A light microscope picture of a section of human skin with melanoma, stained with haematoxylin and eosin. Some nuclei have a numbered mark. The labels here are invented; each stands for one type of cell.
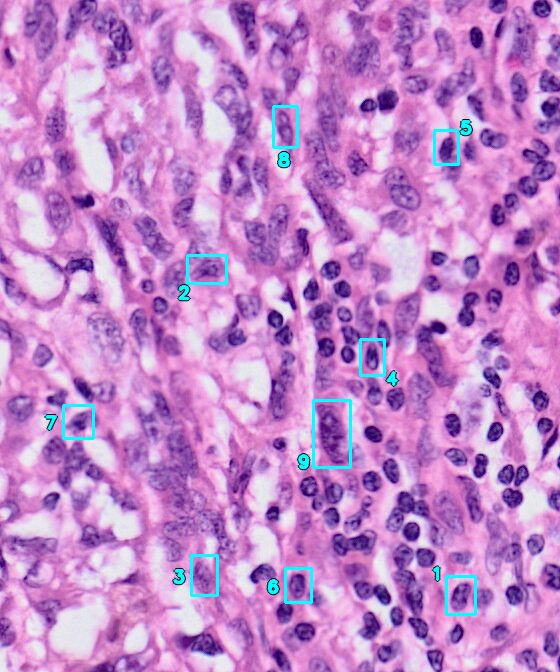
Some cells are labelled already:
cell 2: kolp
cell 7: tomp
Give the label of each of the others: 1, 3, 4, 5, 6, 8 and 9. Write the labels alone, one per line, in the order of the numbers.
tomp
kolp
tomp
tomp
tomp
kolp
kolp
